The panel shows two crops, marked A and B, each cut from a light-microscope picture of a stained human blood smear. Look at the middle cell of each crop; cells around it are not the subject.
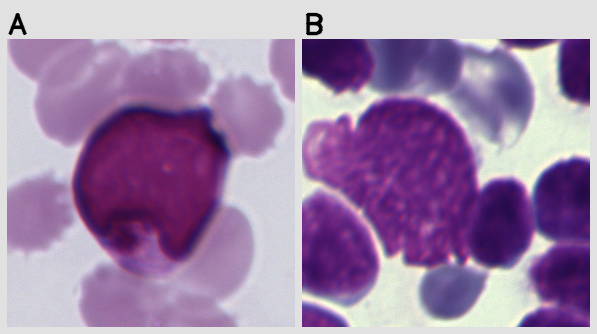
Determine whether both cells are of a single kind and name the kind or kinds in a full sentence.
No, a myeloblast is the cell in crop A; a smudge cell is the cell in crop B.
